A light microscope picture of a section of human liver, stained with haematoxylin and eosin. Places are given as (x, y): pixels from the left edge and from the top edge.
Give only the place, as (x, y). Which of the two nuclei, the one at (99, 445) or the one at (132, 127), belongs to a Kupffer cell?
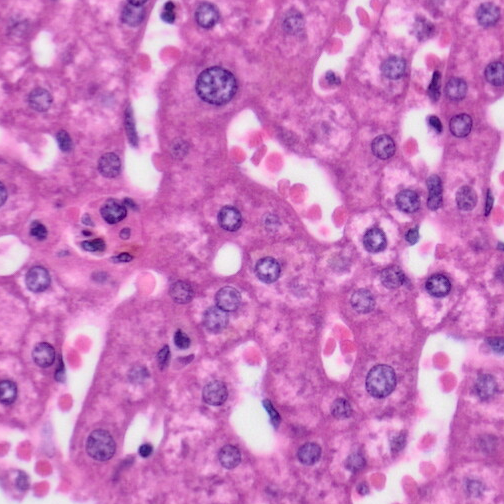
(132, 127)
